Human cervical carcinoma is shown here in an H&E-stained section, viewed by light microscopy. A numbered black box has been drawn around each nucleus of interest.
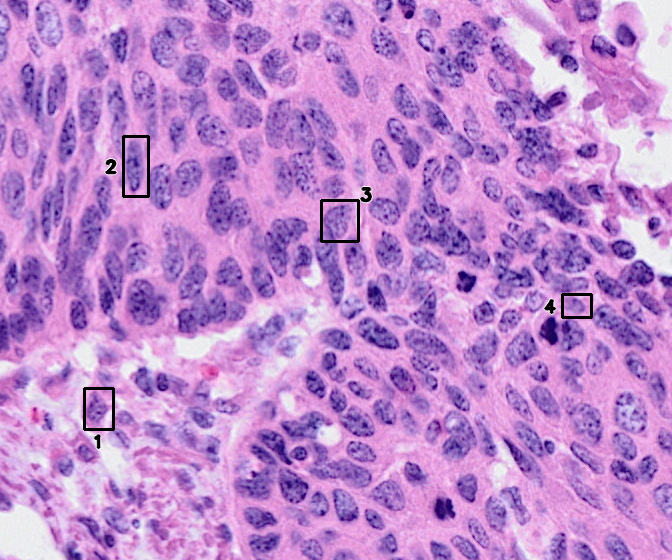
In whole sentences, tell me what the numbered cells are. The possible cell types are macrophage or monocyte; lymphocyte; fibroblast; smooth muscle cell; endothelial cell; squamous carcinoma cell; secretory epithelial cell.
Cell 1 is a macrophage or monocyte. Cells 2, 3 and 4 are squamous carcinoma cells.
